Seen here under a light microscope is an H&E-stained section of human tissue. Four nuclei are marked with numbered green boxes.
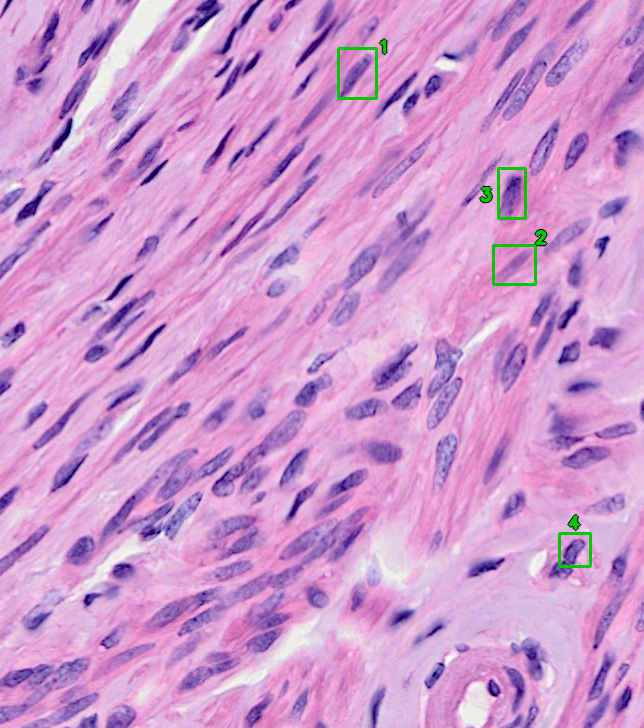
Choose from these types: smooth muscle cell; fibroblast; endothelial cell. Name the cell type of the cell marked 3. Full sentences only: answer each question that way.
The cell identified by the number 3 is a smooth muscle cell.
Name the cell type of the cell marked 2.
Classified as a smooth muscle cell is the cell with the number 2.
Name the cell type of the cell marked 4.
The cell numbered 4 represents an endothelial cell.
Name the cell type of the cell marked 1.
Cell number 1 in this section is a smooth muscle cell.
